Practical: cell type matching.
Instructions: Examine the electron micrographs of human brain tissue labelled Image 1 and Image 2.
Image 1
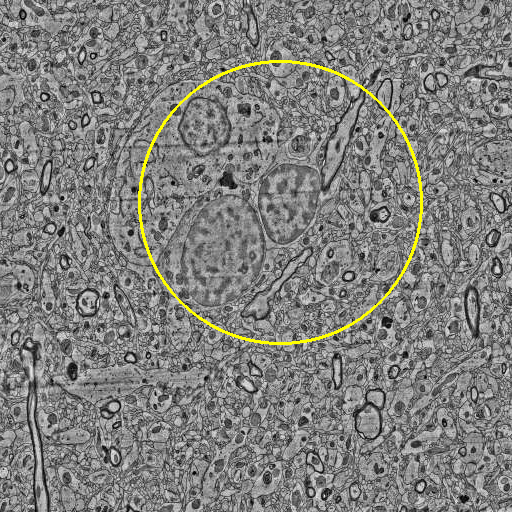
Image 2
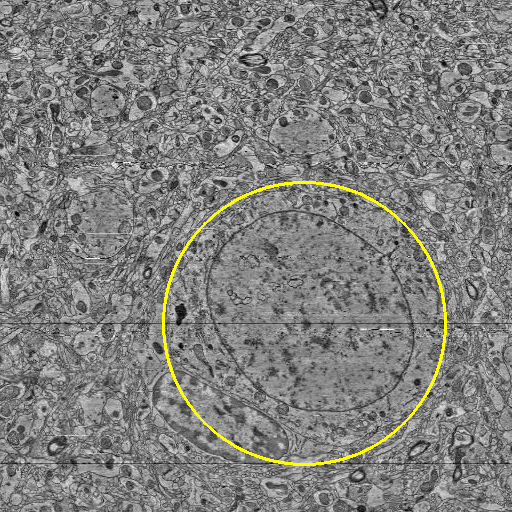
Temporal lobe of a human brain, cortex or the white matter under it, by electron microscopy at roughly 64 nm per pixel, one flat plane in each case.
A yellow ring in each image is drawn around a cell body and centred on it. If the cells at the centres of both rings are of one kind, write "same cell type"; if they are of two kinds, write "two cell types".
two cell types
